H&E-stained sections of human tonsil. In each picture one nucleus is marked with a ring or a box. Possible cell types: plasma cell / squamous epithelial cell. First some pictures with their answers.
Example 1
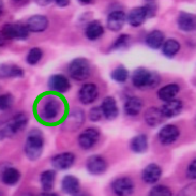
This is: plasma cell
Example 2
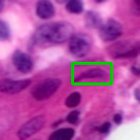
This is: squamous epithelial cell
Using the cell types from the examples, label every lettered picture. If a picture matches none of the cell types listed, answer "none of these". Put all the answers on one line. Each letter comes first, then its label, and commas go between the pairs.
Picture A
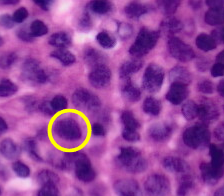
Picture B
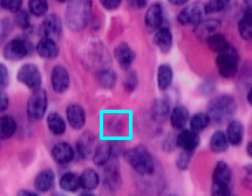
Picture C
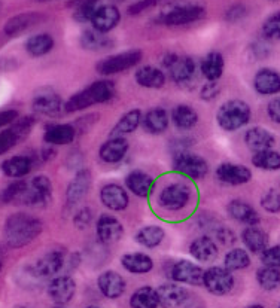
A squamous epithelial cell, B none of these, C plasma cell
